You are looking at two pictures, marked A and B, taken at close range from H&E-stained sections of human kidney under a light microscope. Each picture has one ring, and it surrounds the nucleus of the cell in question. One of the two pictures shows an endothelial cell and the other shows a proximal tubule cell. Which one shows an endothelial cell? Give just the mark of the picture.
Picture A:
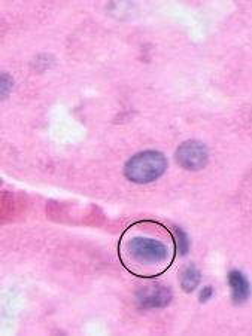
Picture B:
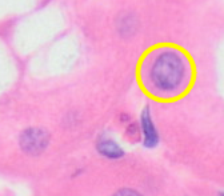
A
